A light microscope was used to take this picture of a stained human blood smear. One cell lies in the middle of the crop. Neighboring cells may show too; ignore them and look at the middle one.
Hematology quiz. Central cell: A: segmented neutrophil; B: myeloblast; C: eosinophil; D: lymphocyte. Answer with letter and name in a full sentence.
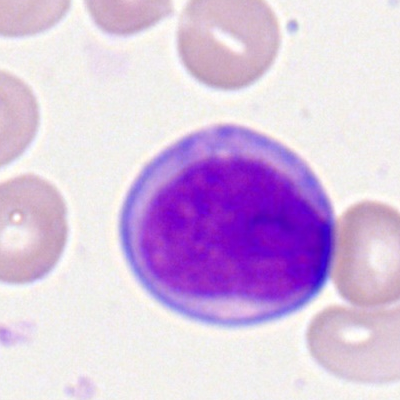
Option B is correct, and the cell in the centre is a myeloblast.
